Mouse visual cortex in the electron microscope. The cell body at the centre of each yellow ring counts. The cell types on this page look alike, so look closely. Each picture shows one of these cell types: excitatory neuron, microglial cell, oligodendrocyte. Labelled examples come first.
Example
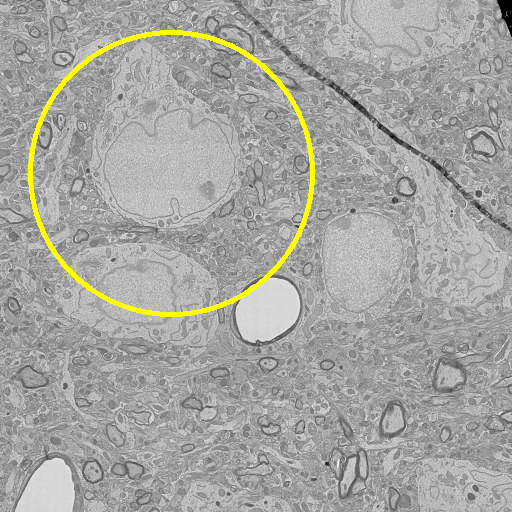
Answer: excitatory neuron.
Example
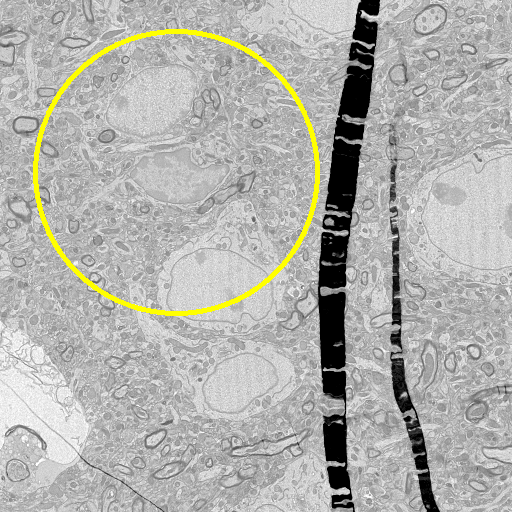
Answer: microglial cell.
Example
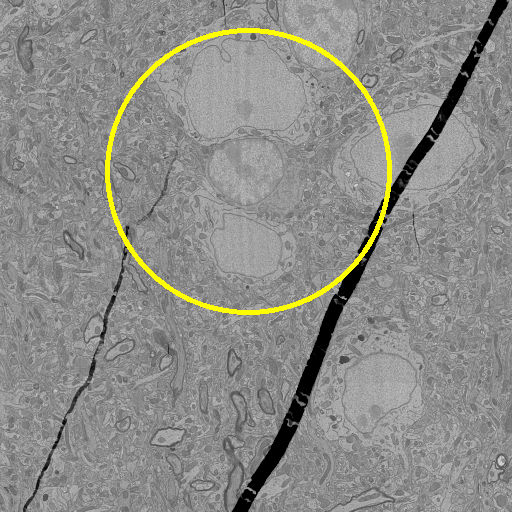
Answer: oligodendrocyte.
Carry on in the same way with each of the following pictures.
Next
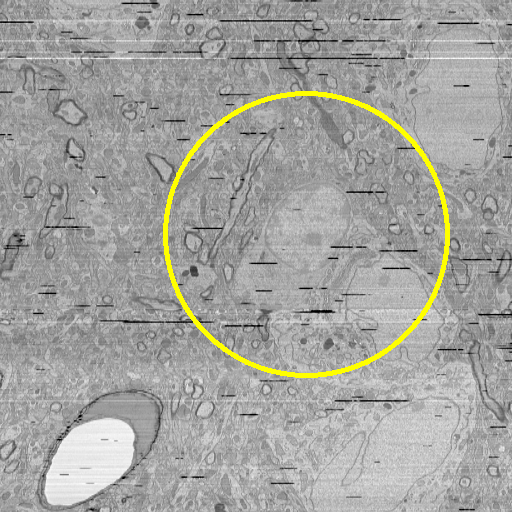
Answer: oligodendrocyte.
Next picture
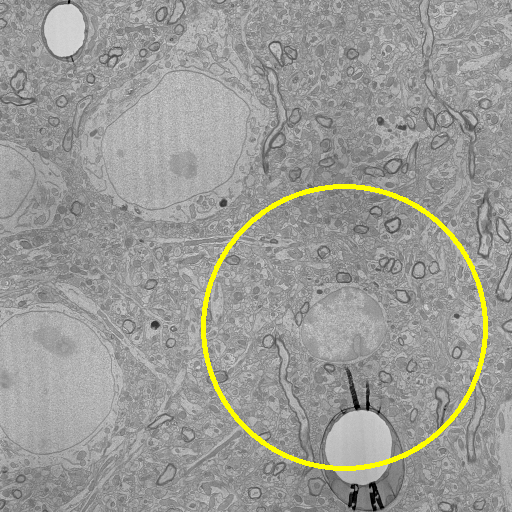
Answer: oligodendrocyte.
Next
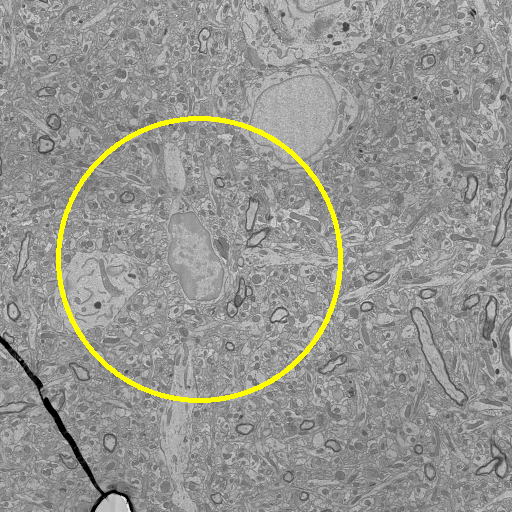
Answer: microglial cell.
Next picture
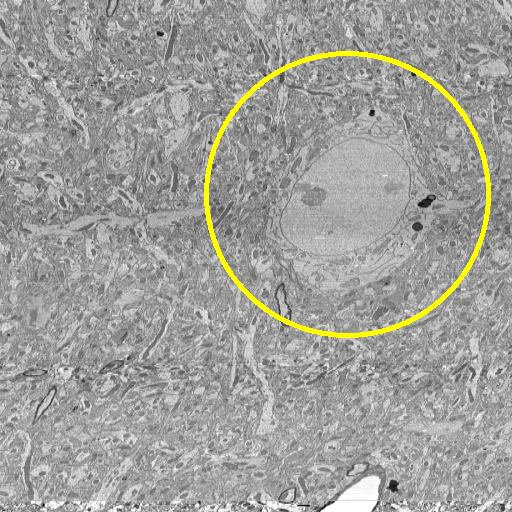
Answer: excitatory neuron.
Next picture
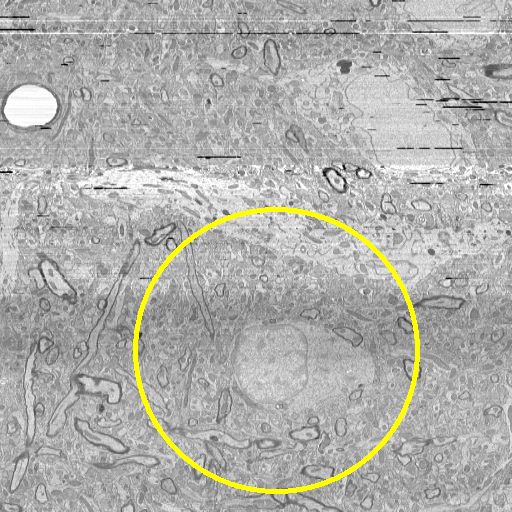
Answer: oligodendrocyte.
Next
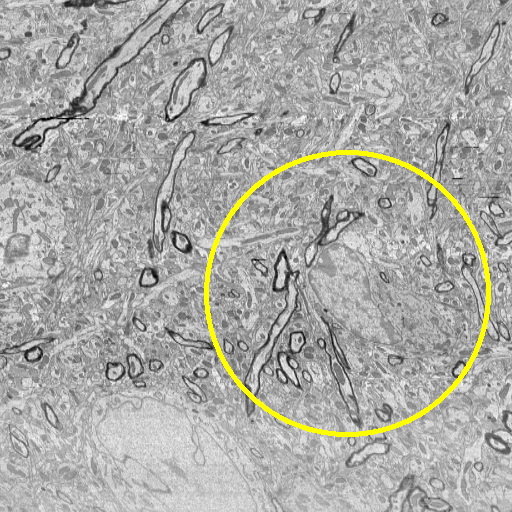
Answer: oligodendrocyte.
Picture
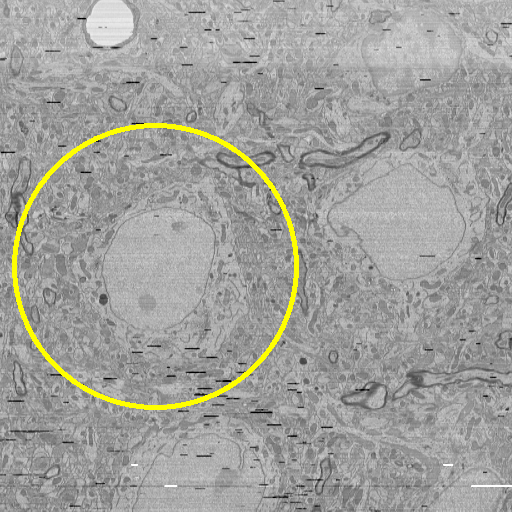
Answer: excitatory neuron.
